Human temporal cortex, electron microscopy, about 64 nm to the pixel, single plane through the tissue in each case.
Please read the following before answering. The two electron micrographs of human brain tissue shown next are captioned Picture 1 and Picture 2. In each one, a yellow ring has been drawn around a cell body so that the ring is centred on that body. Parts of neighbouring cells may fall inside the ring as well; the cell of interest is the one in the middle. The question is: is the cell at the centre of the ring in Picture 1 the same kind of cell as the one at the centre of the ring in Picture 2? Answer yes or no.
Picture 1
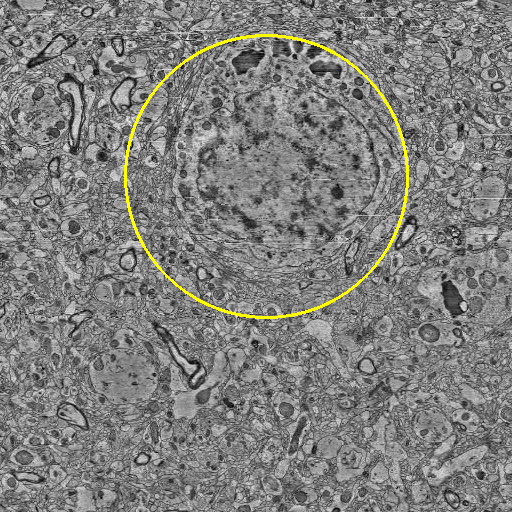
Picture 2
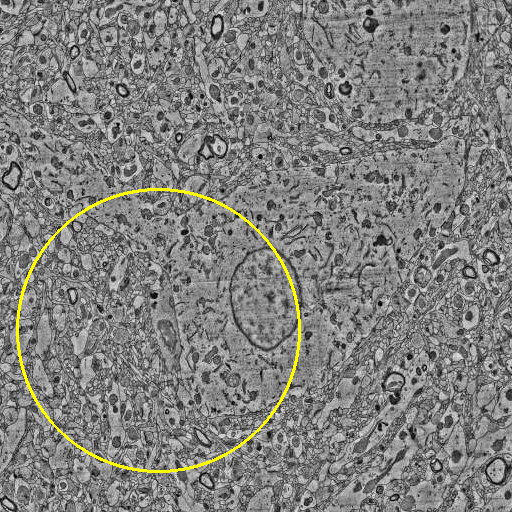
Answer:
no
